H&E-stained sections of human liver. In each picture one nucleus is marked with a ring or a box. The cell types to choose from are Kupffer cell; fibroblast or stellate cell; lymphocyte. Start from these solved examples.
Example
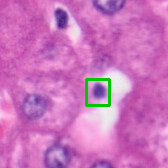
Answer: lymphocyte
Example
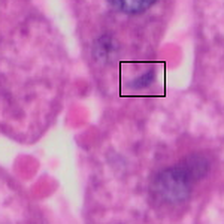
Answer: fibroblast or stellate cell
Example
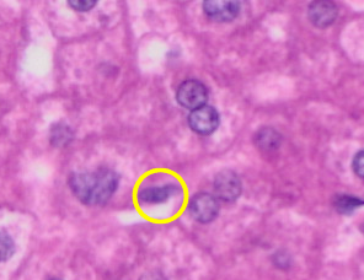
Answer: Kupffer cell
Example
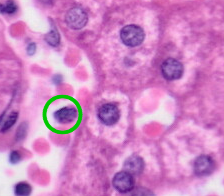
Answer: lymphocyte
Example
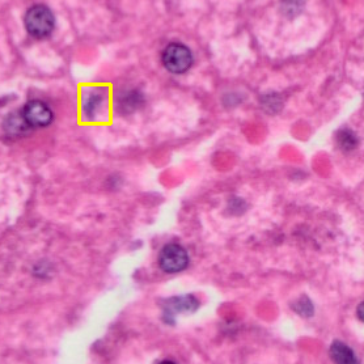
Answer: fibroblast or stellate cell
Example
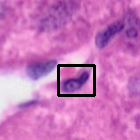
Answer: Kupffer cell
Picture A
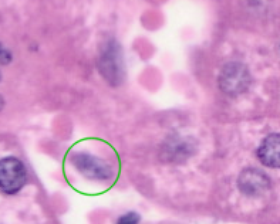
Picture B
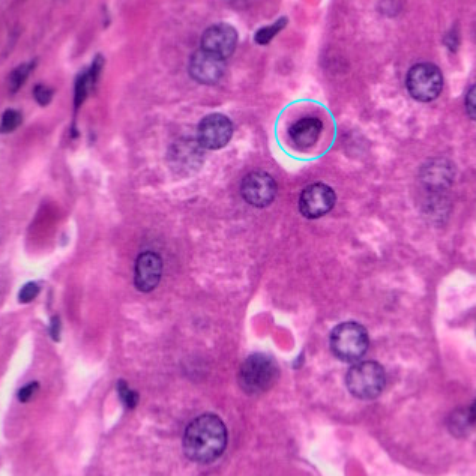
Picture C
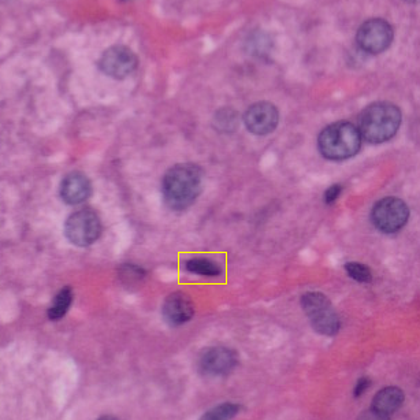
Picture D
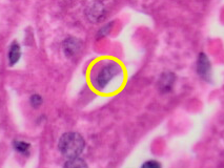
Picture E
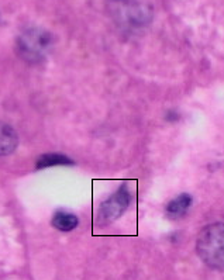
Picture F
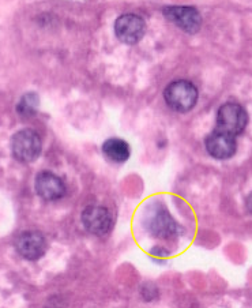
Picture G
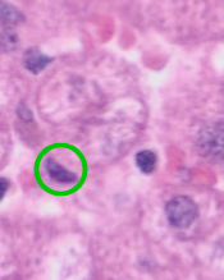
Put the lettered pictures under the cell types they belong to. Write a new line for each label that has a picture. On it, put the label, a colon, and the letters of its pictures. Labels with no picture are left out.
Kupffer cell: A, B, D, E, F
fibroblast or stellate cell: C, G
